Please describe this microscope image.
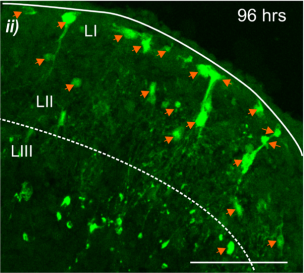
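This is the superficial dorsal horn of the spinal cord, seen close up, with many brightly green nerve cells scattered through the outermost layers. The curved outer edge of the gray matter runs across the top, and a dashed line below marks the boundary with the deeper layer. The labelled cells have small rounded or spindle-shaped bodies, many lying just under the surface, and several send long processes running inward, roughly perpendicular to the surface. Orange arrowheads pick out individual cell bodies. Between them lie finer green fragments and puncta of processes cut across in the section.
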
